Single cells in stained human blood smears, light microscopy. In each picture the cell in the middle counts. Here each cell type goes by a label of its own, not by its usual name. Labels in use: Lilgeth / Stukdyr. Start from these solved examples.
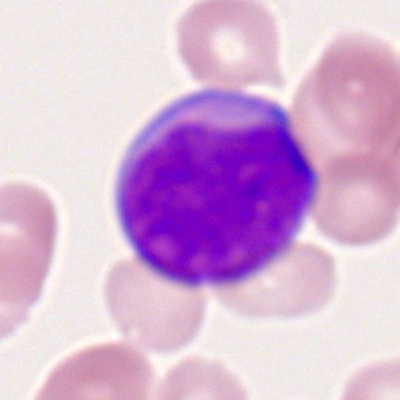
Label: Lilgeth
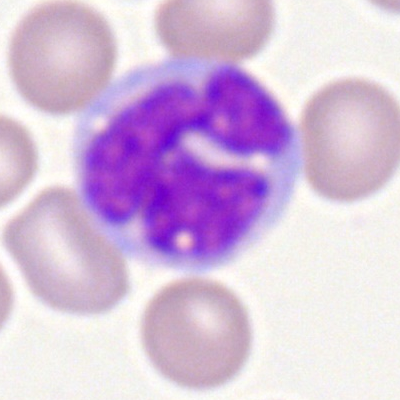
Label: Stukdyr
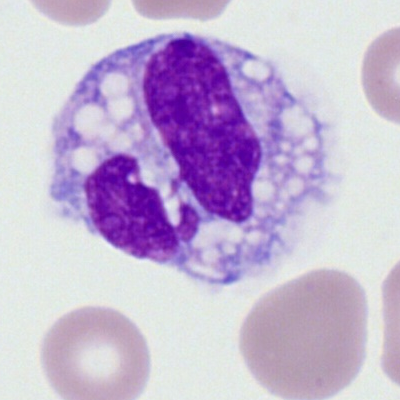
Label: Stukdyr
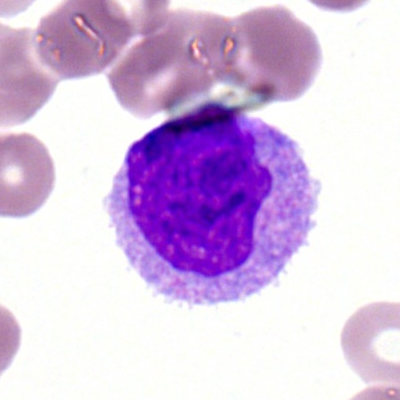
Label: Stukdyr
